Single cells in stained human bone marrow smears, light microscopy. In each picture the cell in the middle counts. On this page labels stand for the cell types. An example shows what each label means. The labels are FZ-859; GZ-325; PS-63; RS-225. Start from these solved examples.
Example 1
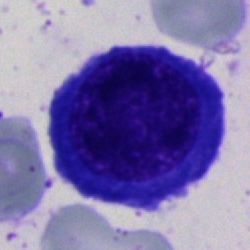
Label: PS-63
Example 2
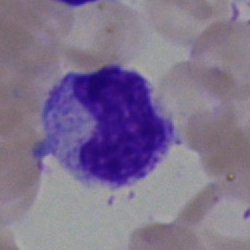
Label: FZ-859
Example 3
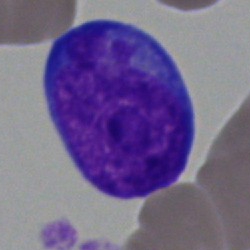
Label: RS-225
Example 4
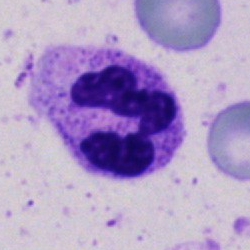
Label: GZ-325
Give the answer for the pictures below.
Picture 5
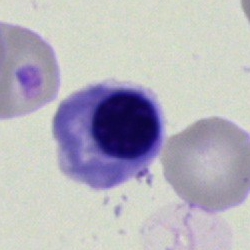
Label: PS-63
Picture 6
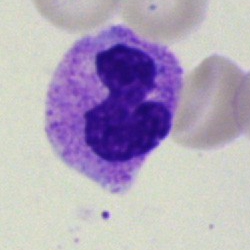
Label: GZ-325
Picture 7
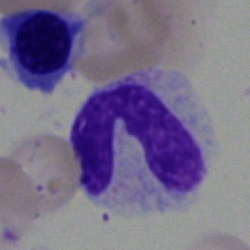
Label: FZ-859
